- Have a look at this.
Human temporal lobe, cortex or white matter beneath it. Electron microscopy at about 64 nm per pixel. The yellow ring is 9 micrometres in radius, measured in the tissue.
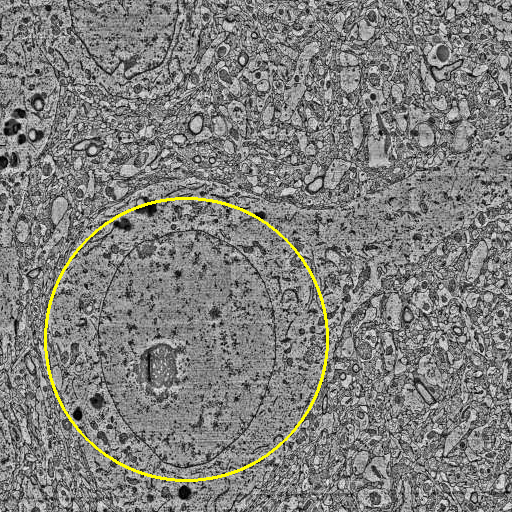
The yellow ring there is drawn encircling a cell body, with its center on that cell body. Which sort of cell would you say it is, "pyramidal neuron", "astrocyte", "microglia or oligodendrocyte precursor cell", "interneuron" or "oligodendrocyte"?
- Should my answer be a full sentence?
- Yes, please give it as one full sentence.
For this picture, a pyramidal neuron is the cell where the yellow ring has its center.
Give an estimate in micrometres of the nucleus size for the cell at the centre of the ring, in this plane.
The nucleus measures about 15 by 12 micrometres in this plane.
